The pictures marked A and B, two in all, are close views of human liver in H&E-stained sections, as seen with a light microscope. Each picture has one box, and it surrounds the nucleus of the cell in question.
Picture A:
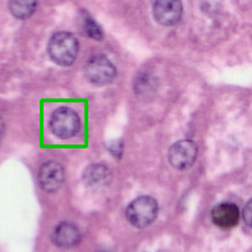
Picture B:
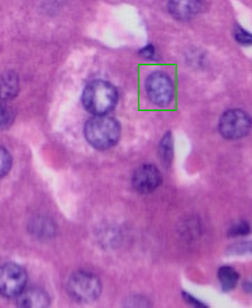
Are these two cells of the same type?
no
